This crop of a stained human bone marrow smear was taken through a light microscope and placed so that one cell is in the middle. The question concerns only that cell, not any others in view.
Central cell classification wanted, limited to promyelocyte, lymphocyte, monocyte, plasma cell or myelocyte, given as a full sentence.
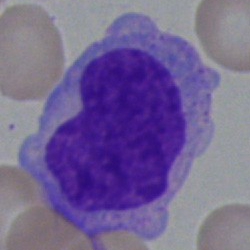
In the middle of this smear crop is a monocyte.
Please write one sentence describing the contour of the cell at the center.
Around its circumference, the cell has an uneven edge, ragged or projecting in places.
